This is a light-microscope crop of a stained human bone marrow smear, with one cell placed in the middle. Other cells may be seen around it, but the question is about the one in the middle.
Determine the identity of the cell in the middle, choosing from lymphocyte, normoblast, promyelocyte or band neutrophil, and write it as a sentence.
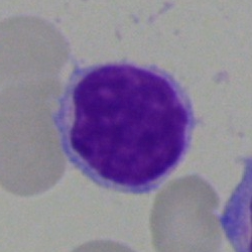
Seen at the centre of the crop is a lymphocyte.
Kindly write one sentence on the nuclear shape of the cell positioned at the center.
See how the nucleus sits as one compact round, oval or kidney-shaped mass.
